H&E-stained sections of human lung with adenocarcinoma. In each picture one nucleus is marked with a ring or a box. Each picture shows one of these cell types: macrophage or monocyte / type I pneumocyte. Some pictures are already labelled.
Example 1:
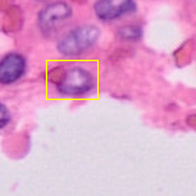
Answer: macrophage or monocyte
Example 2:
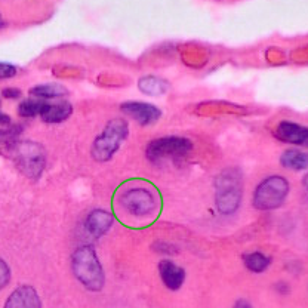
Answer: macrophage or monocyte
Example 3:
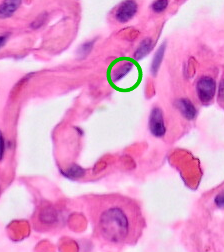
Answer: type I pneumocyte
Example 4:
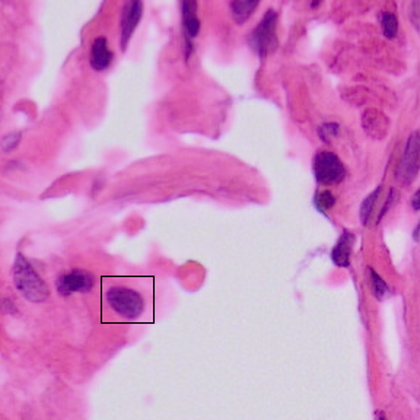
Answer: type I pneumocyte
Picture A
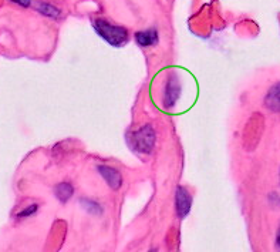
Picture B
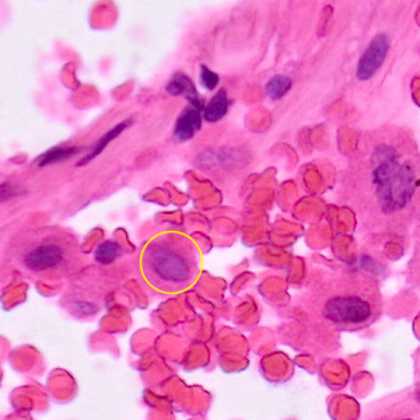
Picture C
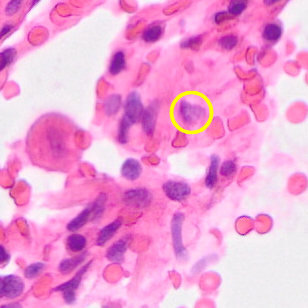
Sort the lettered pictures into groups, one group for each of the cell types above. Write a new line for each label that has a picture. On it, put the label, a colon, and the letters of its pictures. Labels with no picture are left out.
macrophage or monocyte: B
type I pneumocyte: A, C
